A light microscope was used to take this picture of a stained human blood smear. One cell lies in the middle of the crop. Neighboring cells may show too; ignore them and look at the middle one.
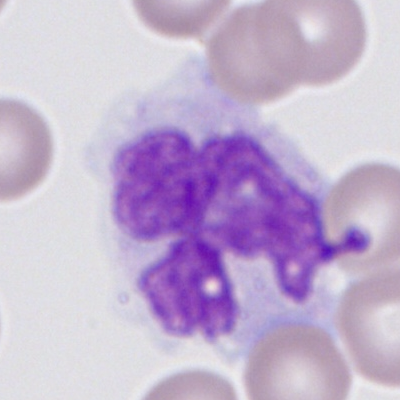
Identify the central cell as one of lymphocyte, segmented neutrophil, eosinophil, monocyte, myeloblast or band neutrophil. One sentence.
Centrally within this crop lies a monocyte.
